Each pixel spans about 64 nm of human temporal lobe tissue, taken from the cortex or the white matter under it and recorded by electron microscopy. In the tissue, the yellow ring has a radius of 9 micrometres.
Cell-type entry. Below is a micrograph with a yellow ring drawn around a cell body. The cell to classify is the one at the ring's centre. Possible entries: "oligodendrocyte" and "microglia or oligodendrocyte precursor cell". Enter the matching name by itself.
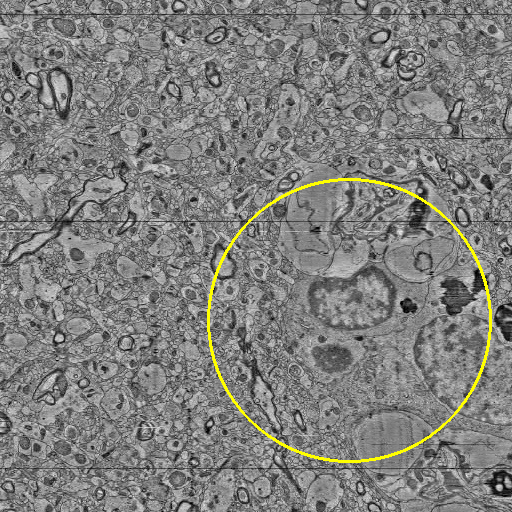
oligodendrocyte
